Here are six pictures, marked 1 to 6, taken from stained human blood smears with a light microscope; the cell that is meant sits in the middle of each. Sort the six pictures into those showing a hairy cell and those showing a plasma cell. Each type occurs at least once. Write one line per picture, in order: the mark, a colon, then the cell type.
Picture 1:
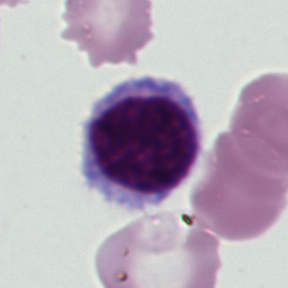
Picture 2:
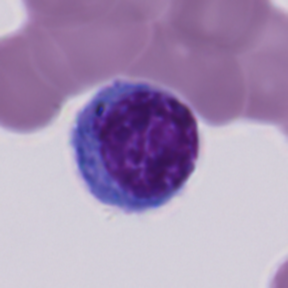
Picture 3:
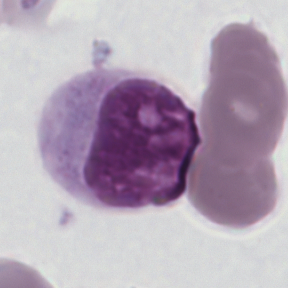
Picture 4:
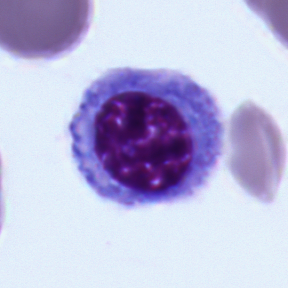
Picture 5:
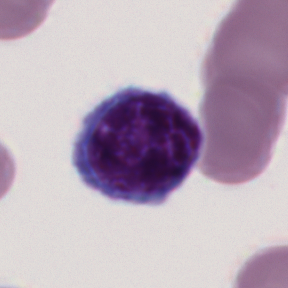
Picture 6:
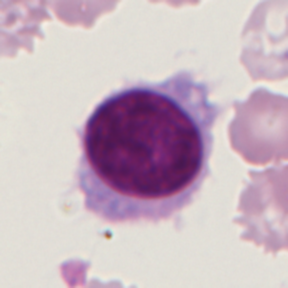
1: hairy cell
2: plasma cell
3: plasma cell
4: plasma cell
5: plasma cell
6: hairy cell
